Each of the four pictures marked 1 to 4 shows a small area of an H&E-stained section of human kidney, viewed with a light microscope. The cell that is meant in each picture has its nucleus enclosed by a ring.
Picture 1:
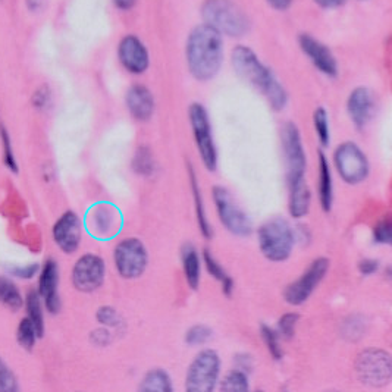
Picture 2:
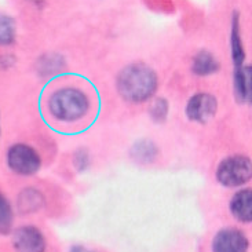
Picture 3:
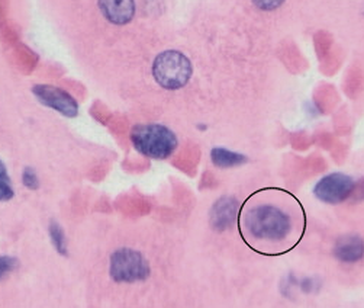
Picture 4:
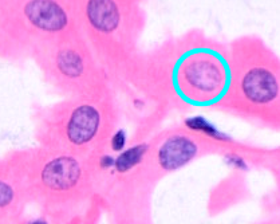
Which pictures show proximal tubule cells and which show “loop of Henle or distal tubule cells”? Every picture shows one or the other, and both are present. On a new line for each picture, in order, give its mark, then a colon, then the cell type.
1: loop of Henle or distal tubule cell
2: loop of Henle or distal tubule cell
3: proximal tubule cell
4: proximal tubule cell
